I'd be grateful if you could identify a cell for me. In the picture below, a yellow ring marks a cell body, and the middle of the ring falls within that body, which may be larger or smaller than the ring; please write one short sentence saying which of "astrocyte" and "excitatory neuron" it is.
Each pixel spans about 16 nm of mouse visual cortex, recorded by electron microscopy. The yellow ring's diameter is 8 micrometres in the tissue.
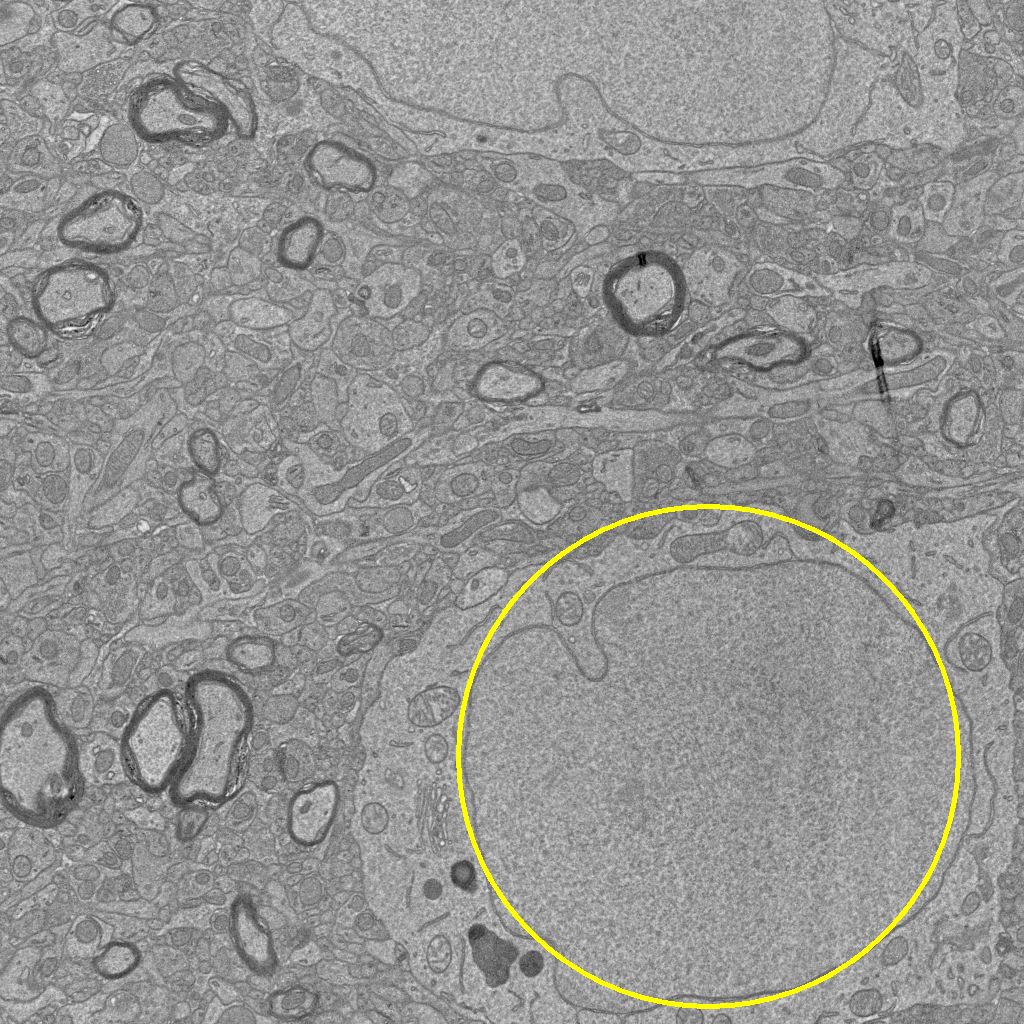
The cell under the ring's centre is an excitatory neuron.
